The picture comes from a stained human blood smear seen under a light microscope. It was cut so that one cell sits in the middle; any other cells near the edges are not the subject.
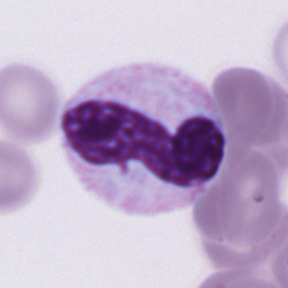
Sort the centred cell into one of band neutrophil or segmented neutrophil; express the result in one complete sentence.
The central element of this crop is a cell, namely a band neutrophil.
